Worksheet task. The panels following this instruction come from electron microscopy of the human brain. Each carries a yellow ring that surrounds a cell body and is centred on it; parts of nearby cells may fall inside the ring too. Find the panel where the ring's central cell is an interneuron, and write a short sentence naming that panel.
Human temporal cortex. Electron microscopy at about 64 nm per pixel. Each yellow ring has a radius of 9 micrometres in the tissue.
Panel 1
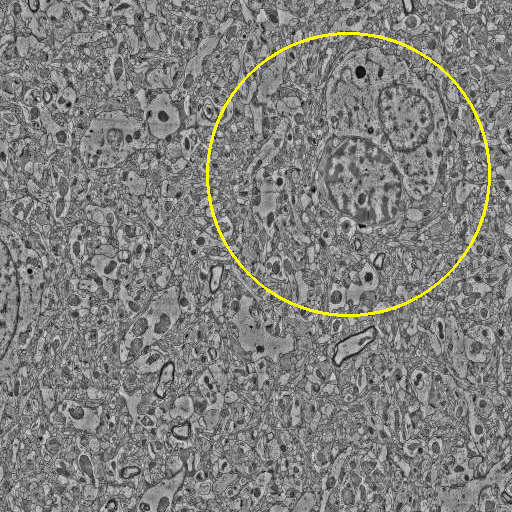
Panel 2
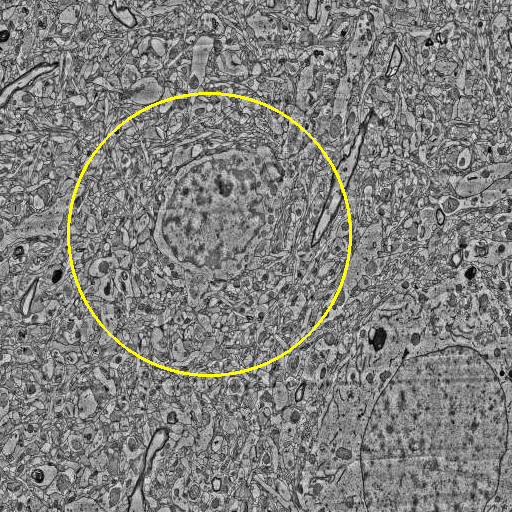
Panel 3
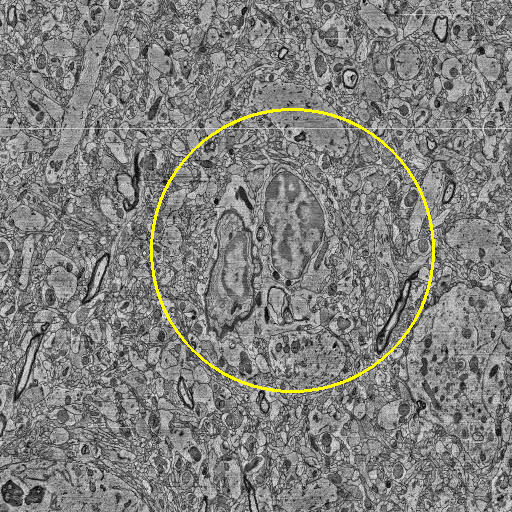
The cell sought is in Panel 2.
